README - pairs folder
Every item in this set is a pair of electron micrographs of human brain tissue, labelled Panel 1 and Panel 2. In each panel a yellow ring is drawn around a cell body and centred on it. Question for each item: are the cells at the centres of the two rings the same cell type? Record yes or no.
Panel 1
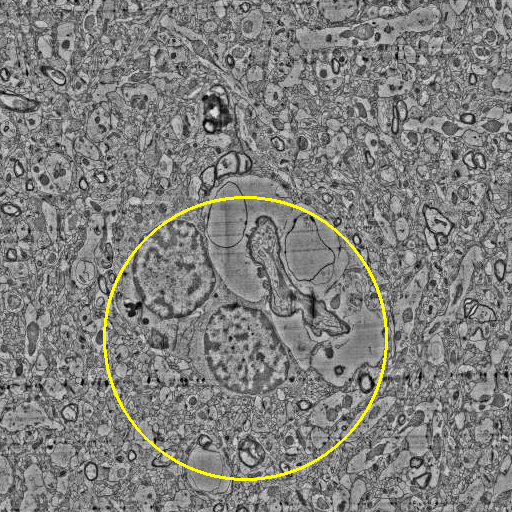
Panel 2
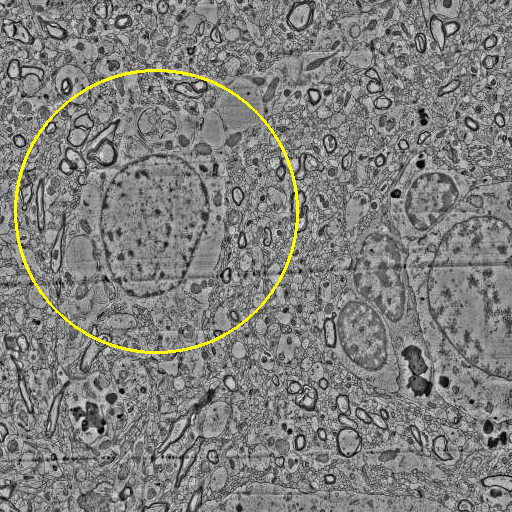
no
